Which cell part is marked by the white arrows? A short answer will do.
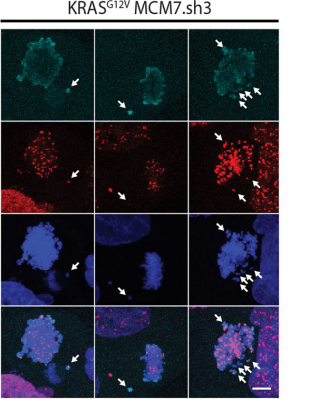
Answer: Misaligned chromosomes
